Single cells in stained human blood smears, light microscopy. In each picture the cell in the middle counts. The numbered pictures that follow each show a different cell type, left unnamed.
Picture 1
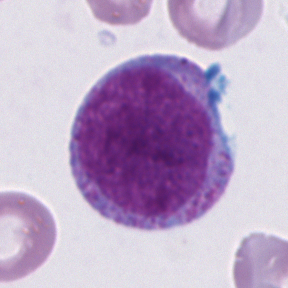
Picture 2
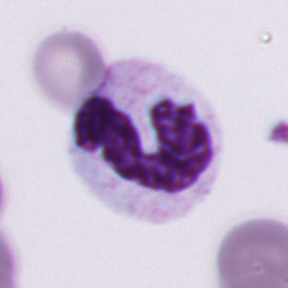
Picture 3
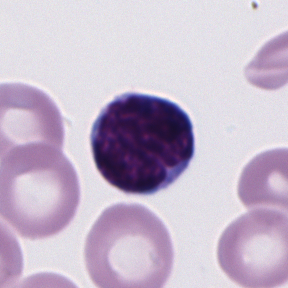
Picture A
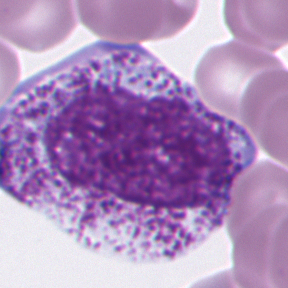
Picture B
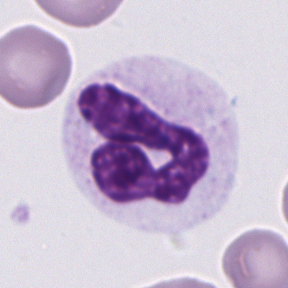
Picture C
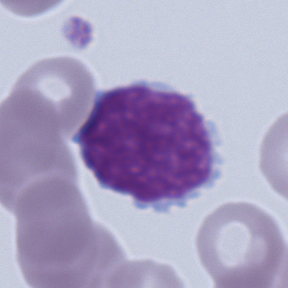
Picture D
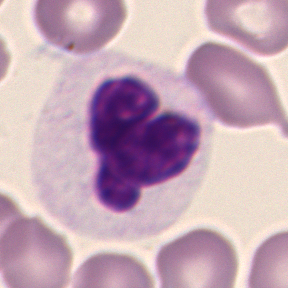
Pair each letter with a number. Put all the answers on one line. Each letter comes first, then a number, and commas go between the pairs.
A 1, B 2, C 3, D 2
